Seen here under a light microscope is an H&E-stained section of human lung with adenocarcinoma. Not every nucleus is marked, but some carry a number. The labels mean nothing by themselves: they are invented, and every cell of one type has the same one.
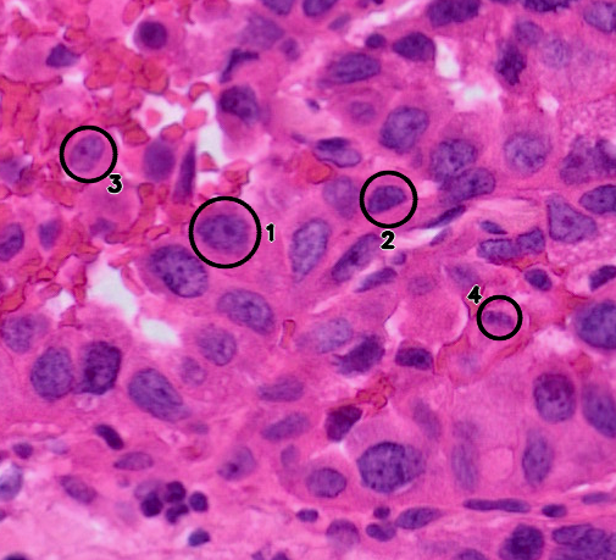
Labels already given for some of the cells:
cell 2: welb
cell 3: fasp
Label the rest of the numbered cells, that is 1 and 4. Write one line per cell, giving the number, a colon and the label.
1: welb
4: fasp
